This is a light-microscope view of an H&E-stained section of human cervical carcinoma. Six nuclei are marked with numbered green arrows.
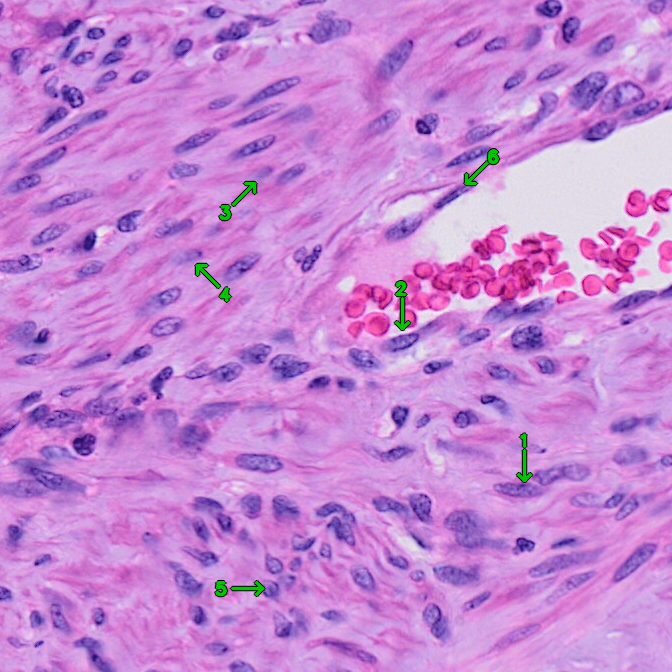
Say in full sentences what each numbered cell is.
Cell 1 is a smooth muscle cell, cell 2 is an endothelial cell, cell 3 is a smooth muscle cell, cell 4 is a smooth muscle cell, cell 5 is a smooth muscle cell and cell 6 is an endothelial cell.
